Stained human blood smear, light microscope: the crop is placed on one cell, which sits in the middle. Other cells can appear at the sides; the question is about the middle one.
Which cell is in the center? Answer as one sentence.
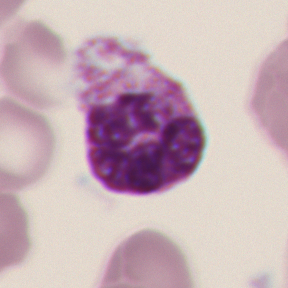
Looking at the middle of the crop, the cell there is a neutrophil.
